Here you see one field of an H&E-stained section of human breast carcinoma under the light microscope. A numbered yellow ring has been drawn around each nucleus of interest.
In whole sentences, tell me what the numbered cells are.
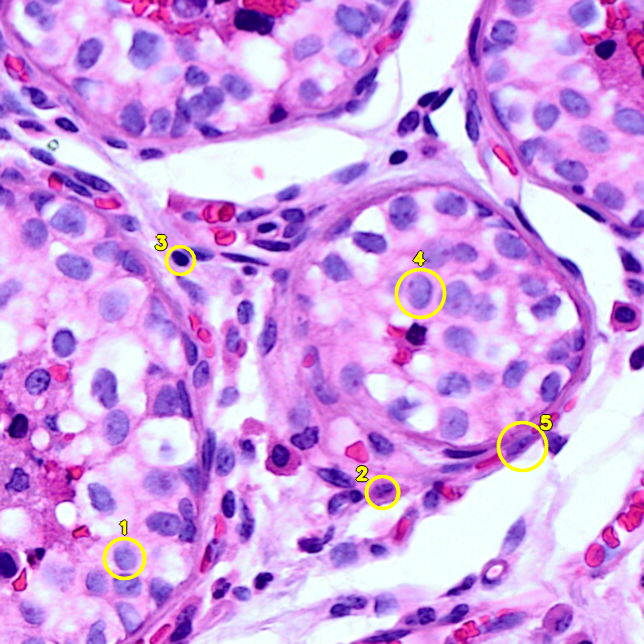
Cells 1 and 4 are carcinoma cells. Cell 2 is a mast cell. Cell 3 is a lymphocyte. Cell 5 is an endothelial cell.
